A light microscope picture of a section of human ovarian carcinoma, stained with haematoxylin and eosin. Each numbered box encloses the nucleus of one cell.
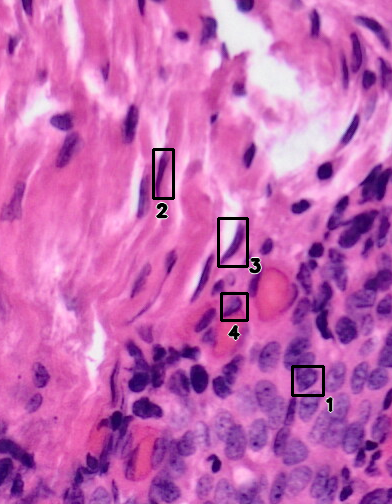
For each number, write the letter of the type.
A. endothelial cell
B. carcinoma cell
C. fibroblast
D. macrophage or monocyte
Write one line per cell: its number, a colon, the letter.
1: B
2: C
3: C
4: A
